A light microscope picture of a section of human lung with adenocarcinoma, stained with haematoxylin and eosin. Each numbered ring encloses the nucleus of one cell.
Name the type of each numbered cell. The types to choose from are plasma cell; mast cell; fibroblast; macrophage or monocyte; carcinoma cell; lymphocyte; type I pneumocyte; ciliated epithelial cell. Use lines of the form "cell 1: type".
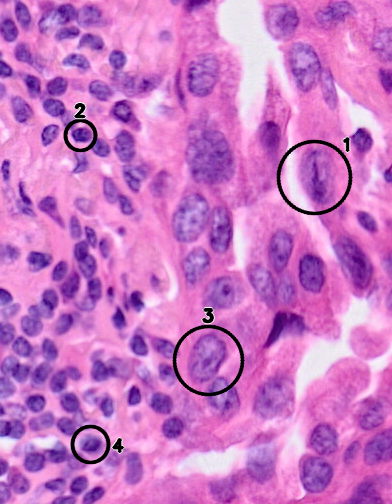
cell 1: carcinoma cell
cell 2: lymphocyte
cell 3: carcinoma cell
cell 4: lymphocyte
